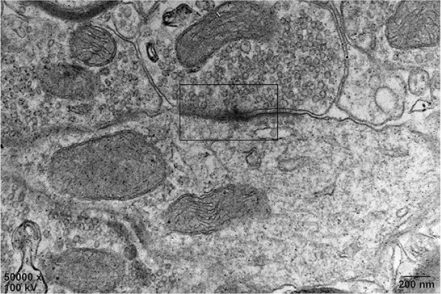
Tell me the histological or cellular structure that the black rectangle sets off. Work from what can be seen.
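The rectangle encloses a dark, thickened stretch of apposed membranes. Many small round clear vesicles cluster on one side of that contact. The answer: synaptic interface.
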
